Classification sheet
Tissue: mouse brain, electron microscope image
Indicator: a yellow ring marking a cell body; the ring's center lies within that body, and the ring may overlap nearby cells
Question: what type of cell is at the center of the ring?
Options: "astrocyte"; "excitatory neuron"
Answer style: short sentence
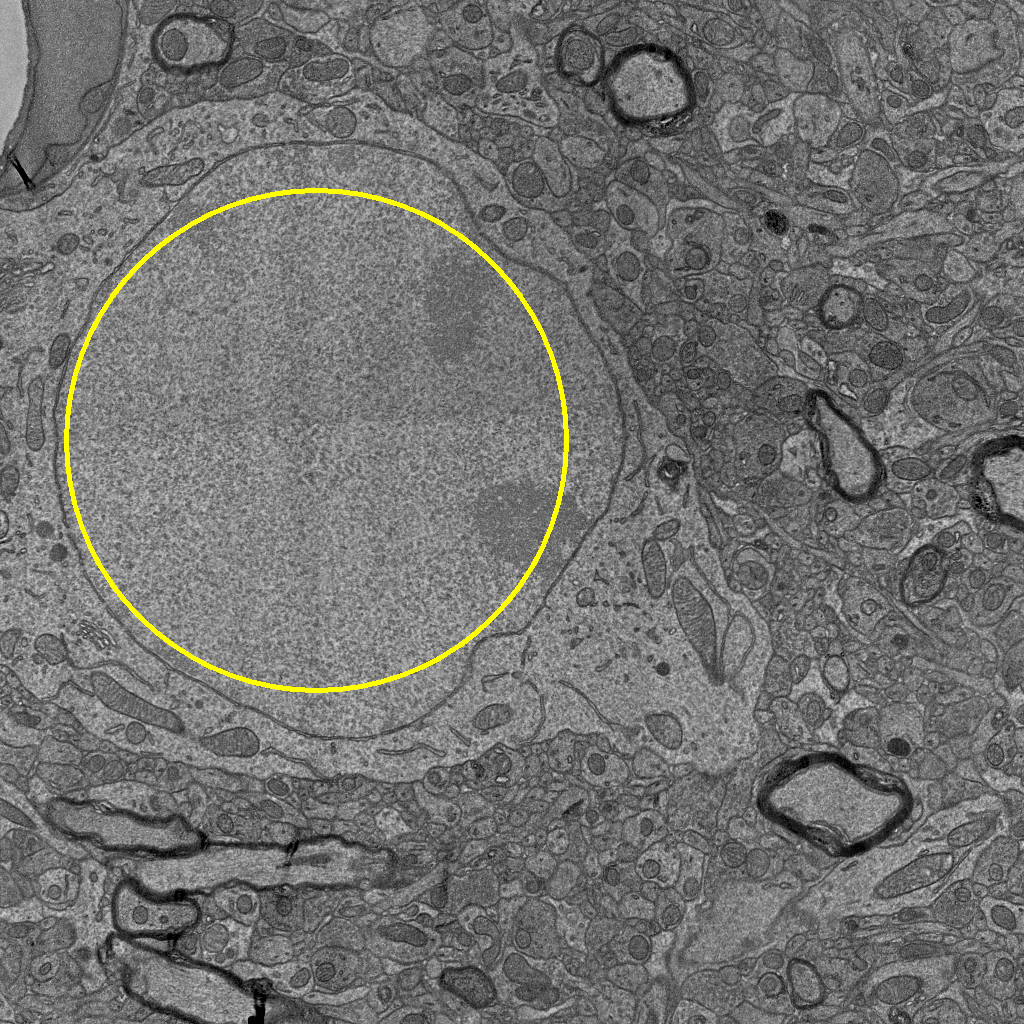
At the ring's center is an excitatory neuron.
